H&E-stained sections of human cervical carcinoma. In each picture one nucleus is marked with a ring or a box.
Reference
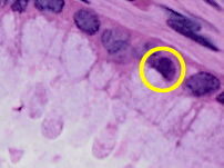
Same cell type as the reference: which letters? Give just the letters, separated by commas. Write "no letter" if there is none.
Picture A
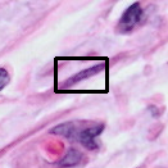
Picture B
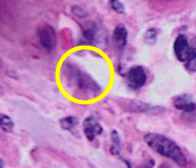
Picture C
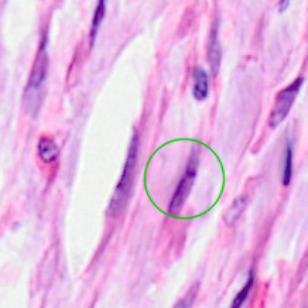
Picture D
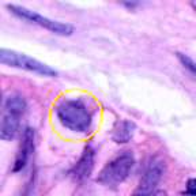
D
